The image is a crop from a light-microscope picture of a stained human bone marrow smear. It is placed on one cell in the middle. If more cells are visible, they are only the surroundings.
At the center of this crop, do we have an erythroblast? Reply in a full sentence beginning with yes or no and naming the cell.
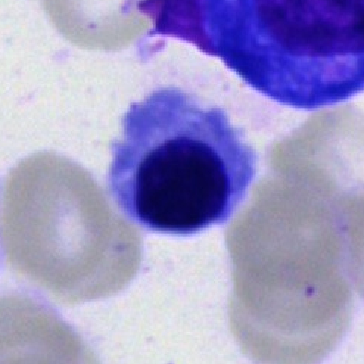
Yes, at the centre of the crop lies an erythroblast.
